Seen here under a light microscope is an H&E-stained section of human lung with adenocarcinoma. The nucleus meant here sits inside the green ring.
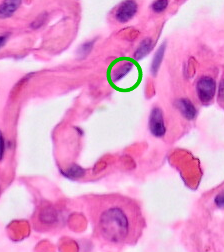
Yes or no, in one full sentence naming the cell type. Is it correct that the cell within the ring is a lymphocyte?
No, the identity of the cell within the ring is a type I pneumocyte, not a lymphocyte.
